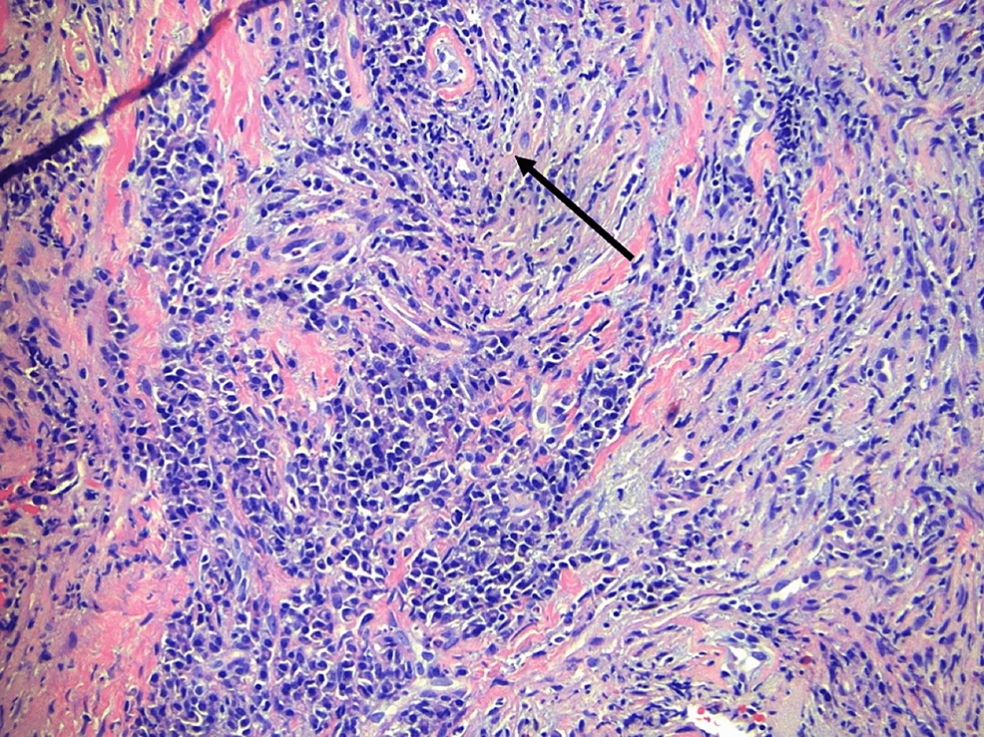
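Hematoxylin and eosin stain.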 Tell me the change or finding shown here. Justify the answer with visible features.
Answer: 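Perivascular fibroinflammatory lesion. Dense sheets of small round inflammatory cells with dark nuclei fill much of the field. Pink collagen bundles and spindle-shaped cells run between and around the infiltrate. Small vessels with pink walls lie within the infiltrate.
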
